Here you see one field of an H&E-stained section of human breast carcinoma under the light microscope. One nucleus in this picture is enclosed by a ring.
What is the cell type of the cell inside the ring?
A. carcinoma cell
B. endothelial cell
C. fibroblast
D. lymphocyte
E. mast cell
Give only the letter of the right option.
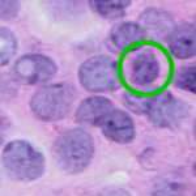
A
